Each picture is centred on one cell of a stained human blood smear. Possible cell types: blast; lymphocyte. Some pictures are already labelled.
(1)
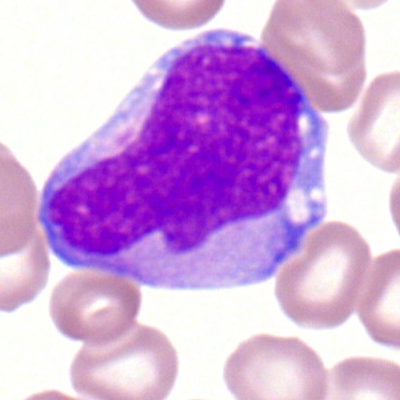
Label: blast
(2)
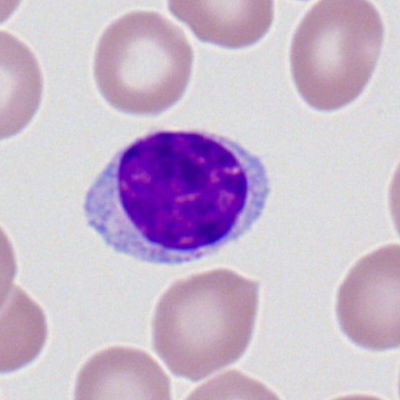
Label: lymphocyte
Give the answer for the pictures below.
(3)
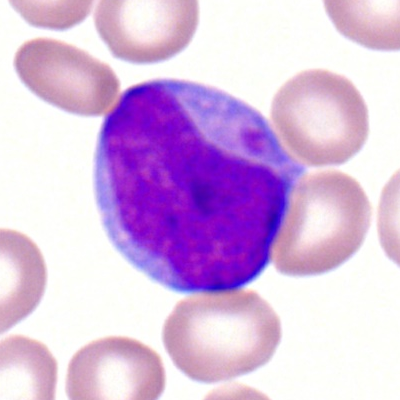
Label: blast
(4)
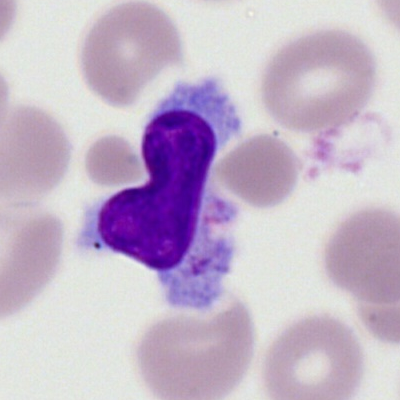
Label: lymphocyte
